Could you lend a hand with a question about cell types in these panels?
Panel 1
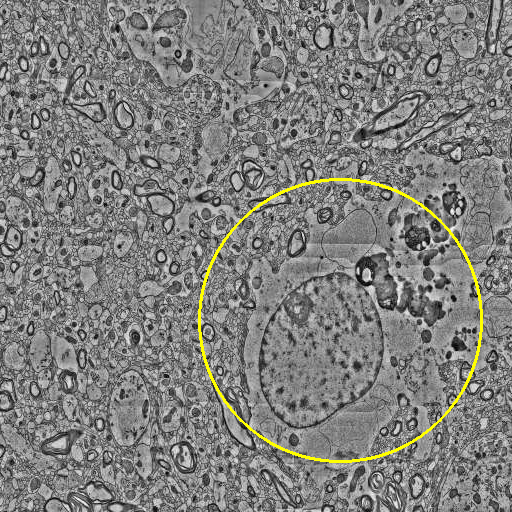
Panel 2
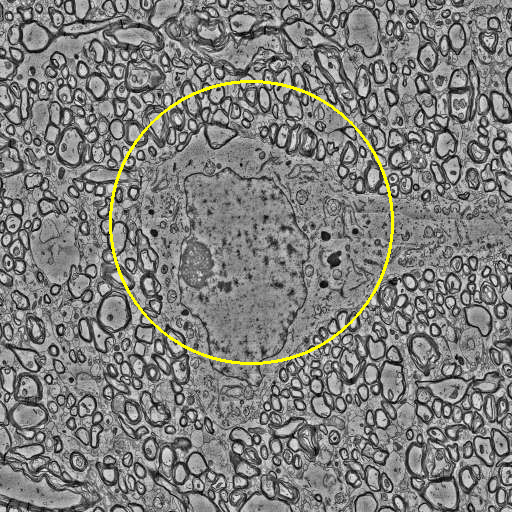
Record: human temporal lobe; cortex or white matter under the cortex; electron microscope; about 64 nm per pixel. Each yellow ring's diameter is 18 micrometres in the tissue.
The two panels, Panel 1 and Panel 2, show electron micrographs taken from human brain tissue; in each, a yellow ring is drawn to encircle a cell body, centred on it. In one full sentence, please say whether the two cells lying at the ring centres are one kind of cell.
No, the cells at the ring centres in the two panels are two kinds of cell.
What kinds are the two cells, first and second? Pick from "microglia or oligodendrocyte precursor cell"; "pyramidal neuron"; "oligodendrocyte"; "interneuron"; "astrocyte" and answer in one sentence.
The second picture holds a pyramidal neuron in its ring, and the first holds an astrocyte.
